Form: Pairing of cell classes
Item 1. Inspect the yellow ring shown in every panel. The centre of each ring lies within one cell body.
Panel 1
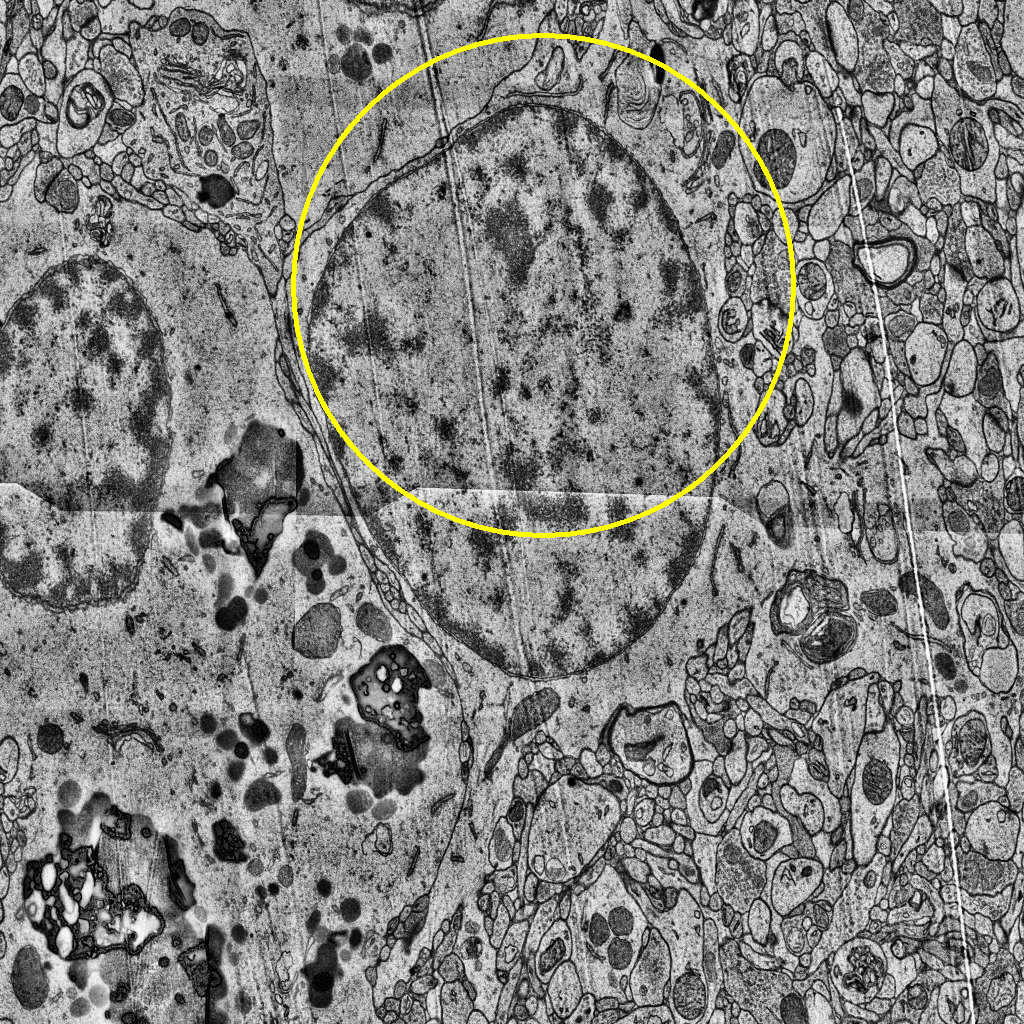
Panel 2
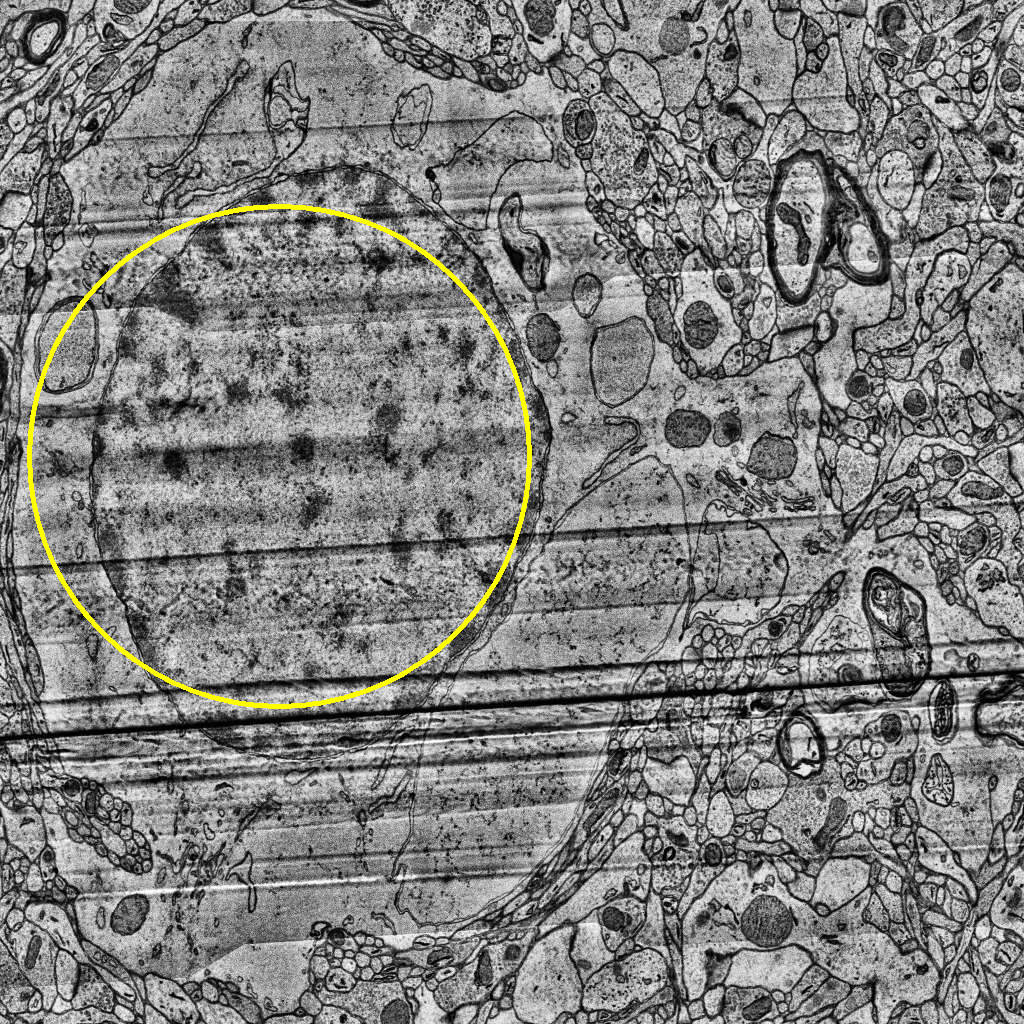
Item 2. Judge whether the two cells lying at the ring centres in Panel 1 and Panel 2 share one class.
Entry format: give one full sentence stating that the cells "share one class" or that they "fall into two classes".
The cells at the ring centres in Panel 1 and Panel 2 share one class.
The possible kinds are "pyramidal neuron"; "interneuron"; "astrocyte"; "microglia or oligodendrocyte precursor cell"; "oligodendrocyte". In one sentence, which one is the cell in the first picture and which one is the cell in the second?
The first and the second cell are each an astrocyte.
